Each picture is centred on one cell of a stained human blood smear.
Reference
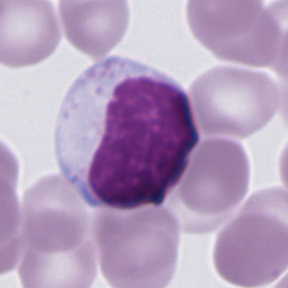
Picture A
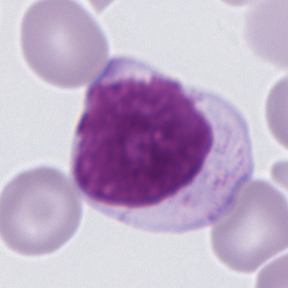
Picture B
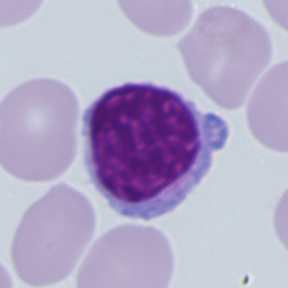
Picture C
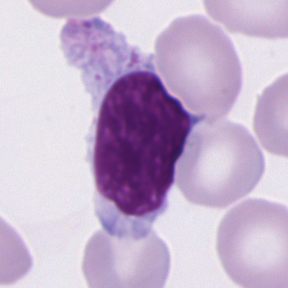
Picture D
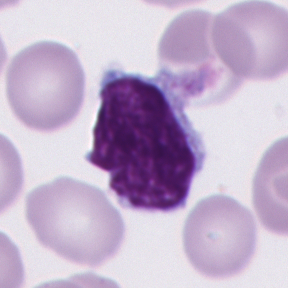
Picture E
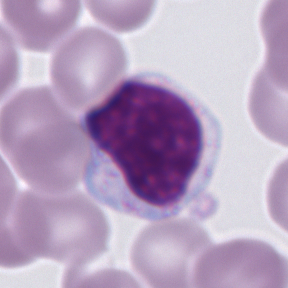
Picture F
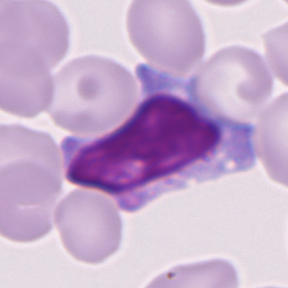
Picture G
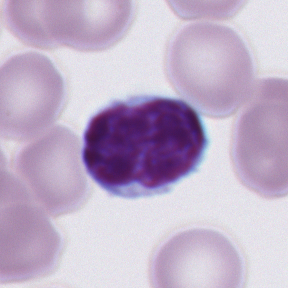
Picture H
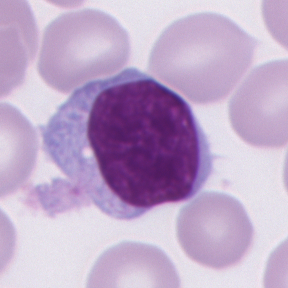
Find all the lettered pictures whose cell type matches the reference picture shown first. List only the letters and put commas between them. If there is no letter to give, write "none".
A, C, E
